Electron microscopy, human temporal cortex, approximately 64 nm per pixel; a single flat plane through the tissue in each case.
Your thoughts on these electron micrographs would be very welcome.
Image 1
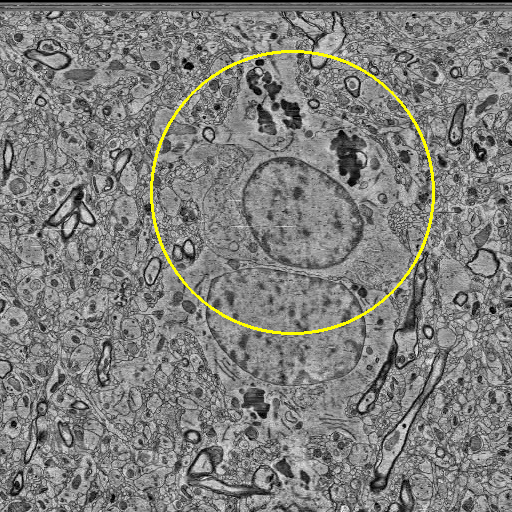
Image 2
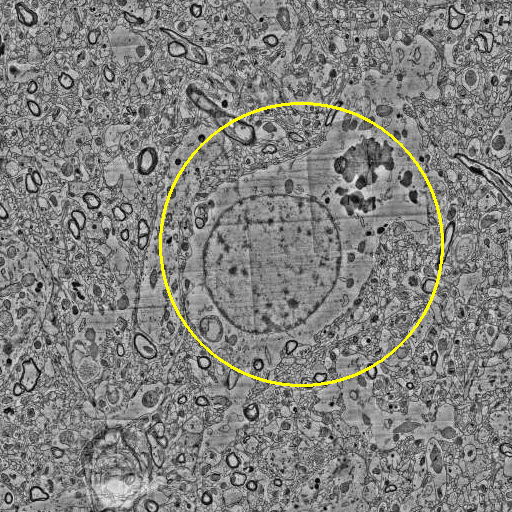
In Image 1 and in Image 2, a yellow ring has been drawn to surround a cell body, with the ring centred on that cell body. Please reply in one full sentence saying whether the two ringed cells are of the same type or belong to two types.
The ringed cells in Image 1 and Image 2 are of the same type.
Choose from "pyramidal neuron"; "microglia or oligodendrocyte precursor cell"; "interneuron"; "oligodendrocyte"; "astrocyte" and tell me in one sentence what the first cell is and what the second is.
In the first picture and in the second, the ring is centred on an astrocyte.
